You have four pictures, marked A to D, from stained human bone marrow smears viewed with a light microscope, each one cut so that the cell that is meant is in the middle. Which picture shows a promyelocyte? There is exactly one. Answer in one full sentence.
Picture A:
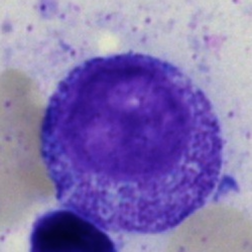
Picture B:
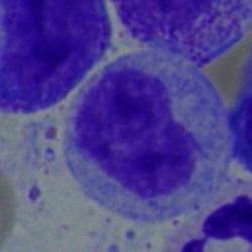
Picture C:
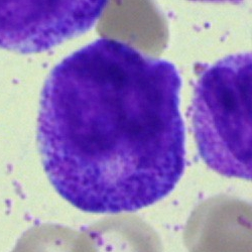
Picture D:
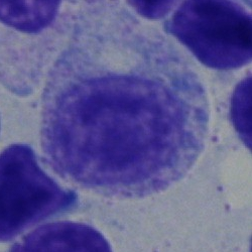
The promyelocyte is the one in picture C.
